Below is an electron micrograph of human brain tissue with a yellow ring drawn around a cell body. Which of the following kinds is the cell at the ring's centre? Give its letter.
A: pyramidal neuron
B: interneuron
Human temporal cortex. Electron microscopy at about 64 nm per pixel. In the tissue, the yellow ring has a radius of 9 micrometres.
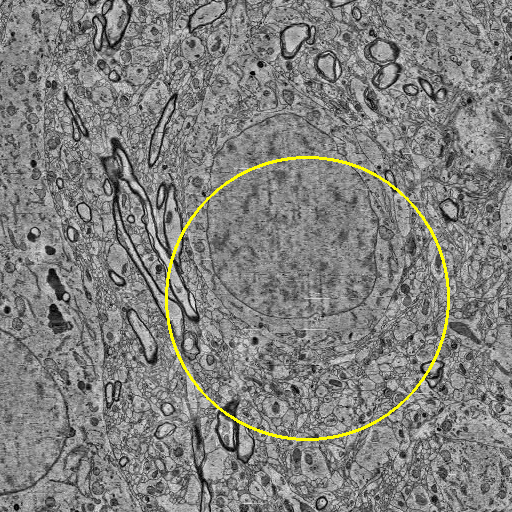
A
